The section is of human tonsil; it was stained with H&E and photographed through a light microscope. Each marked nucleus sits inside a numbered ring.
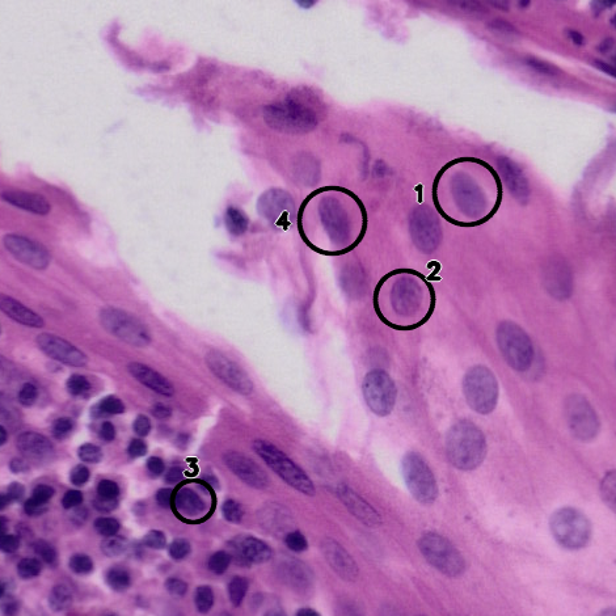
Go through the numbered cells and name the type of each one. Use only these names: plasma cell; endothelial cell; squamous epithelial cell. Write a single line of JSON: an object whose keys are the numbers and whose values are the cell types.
{"1": "squamous epithelial cell", "2": "squamous epithelial cell", "3": "plasma cell", "4": "squamous epithelial cell"}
